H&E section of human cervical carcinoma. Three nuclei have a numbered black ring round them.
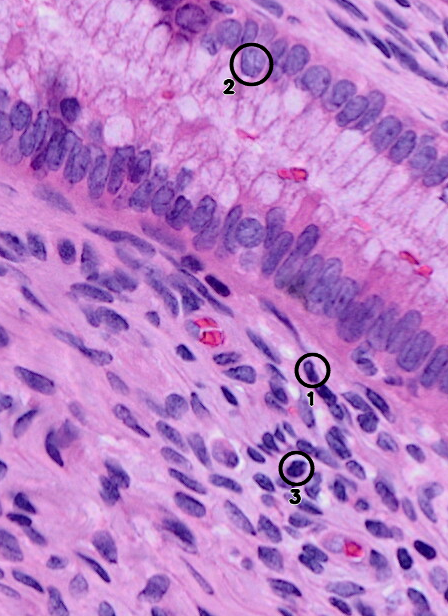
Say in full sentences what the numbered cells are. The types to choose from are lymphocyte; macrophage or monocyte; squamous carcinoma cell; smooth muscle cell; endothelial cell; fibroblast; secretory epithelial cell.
Cells 1 and 3 are lymphocytes. Cell 2 is a secretory epithelial cell.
